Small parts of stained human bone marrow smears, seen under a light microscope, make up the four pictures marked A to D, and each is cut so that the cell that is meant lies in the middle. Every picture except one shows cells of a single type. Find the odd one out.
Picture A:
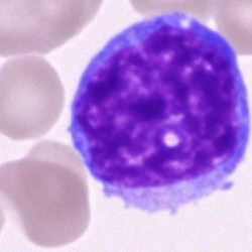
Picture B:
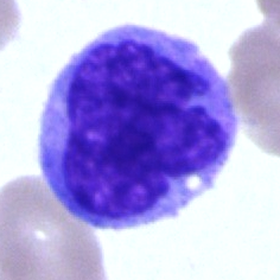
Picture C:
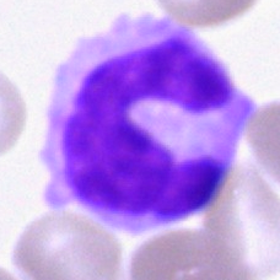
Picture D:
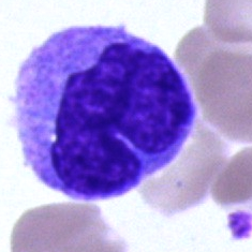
A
